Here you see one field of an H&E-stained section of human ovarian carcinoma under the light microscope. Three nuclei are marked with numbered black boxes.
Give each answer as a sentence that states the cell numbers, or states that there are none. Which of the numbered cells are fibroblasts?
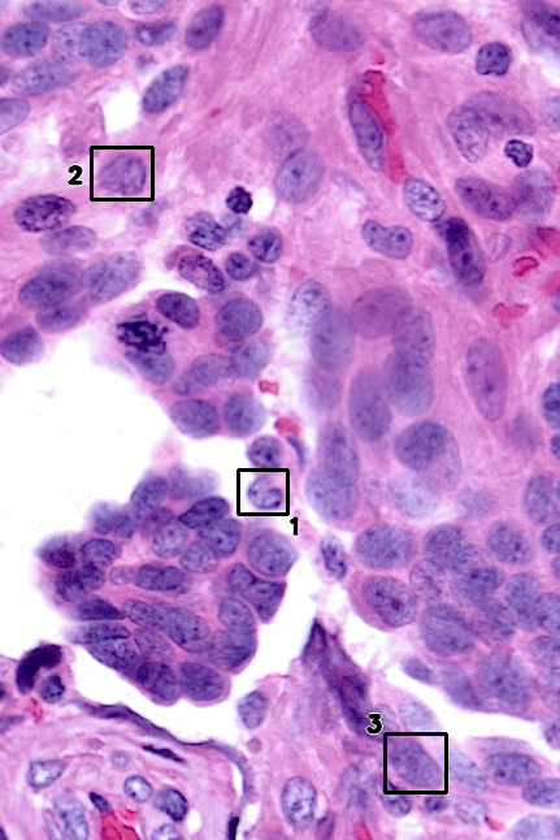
Cell 2 is the only numbered cell that is a fibroblast.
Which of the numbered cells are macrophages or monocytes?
Only the cell numbered 1 qualifies as a macrophage or monocyte among the marked cells.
